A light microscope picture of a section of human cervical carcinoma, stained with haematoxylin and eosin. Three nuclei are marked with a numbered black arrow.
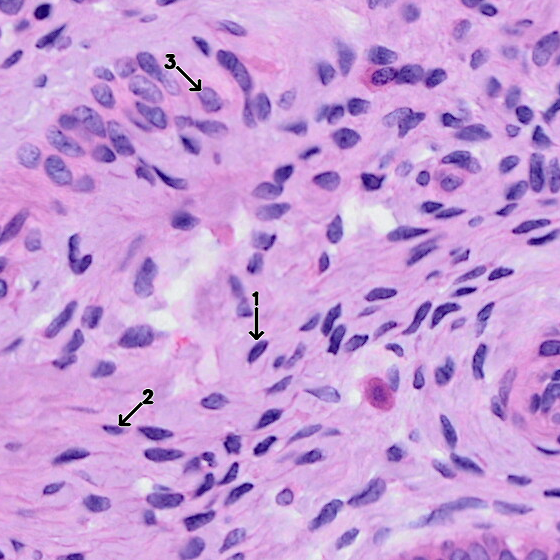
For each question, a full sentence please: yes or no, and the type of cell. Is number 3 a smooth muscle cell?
Yes, the numbered cell 3 is identified as a smooth muscle cell.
